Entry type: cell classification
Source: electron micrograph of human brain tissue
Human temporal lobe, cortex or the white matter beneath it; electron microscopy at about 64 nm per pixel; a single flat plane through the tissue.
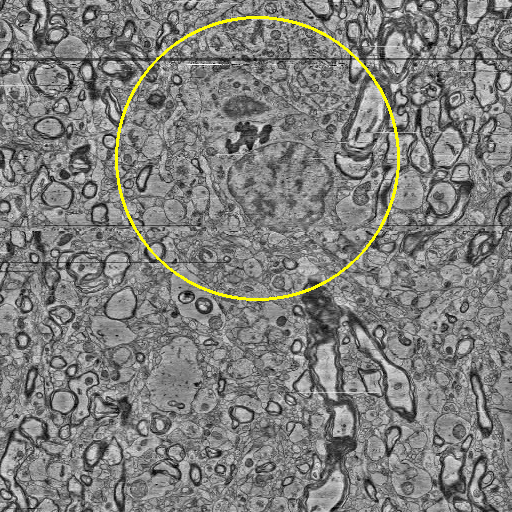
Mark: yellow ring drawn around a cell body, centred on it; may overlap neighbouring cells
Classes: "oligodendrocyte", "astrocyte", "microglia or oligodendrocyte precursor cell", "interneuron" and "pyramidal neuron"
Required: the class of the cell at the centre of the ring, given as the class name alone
oligodendrocyte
